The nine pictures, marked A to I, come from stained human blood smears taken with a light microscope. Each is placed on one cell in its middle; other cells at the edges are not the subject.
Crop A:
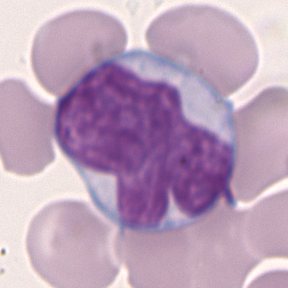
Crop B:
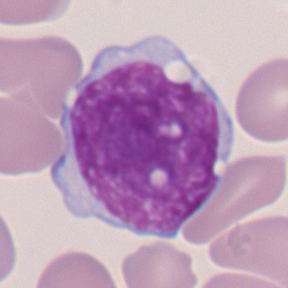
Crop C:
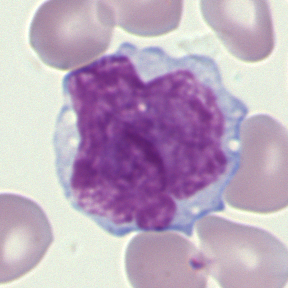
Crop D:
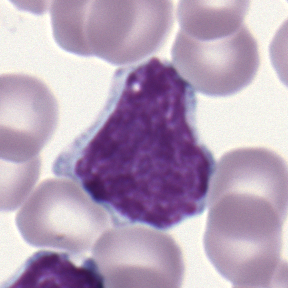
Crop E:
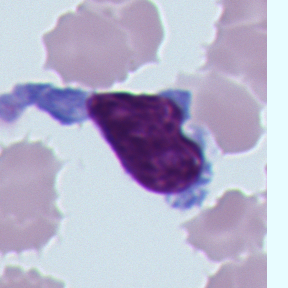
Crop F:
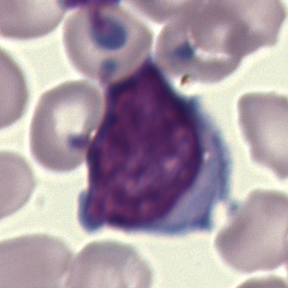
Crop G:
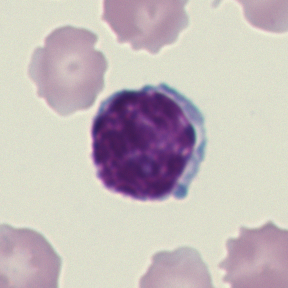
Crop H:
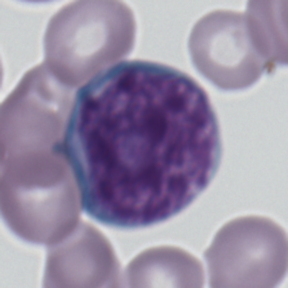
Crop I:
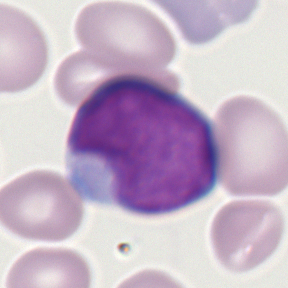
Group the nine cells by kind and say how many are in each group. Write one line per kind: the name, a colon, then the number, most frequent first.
myeloblast: 6
typical lymphocyte: 3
